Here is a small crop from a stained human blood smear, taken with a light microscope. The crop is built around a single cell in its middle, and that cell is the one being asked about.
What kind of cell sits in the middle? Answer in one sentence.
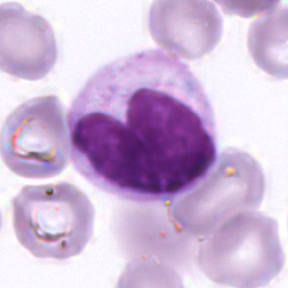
For this crop, the cell in the middle is a band neutrophil.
